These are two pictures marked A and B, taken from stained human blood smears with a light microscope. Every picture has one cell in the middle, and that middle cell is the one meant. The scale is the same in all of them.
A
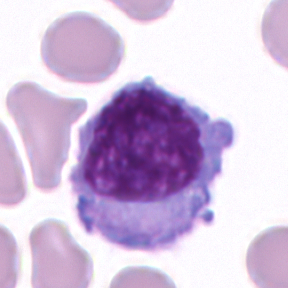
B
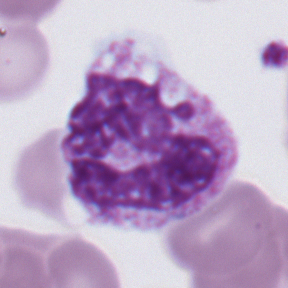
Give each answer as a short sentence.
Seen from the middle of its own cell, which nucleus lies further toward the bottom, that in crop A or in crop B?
In crop B the nucleus is shifted more toward the bottom.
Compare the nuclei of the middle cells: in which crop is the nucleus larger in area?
It is the nucleus in crop B, about 1.5 times as large in area as the one in crop A.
